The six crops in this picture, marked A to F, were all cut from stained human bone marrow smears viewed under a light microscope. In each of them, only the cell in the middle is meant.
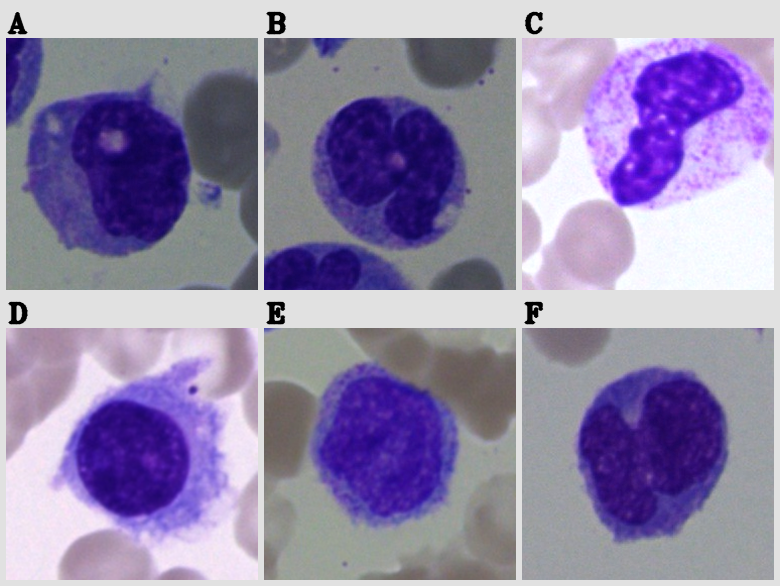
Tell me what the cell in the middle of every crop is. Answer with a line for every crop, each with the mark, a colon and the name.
A: monocyte
B: monocyte
C: segmented neutrophil
D: hairy cell
E: monocyte
F: monocyte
